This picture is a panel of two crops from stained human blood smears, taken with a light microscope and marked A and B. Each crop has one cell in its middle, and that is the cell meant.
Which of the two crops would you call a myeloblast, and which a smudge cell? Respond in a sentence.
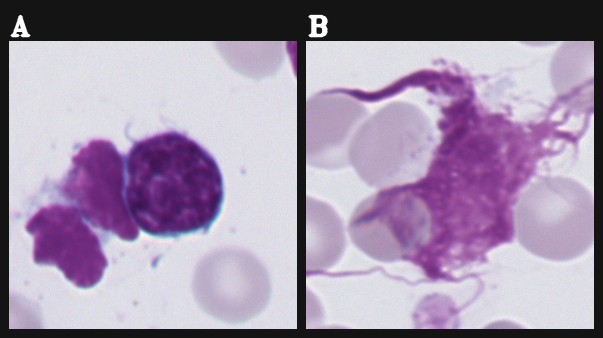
Crop A has a myeloblast at its centre, and crop B has a smudge cell.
